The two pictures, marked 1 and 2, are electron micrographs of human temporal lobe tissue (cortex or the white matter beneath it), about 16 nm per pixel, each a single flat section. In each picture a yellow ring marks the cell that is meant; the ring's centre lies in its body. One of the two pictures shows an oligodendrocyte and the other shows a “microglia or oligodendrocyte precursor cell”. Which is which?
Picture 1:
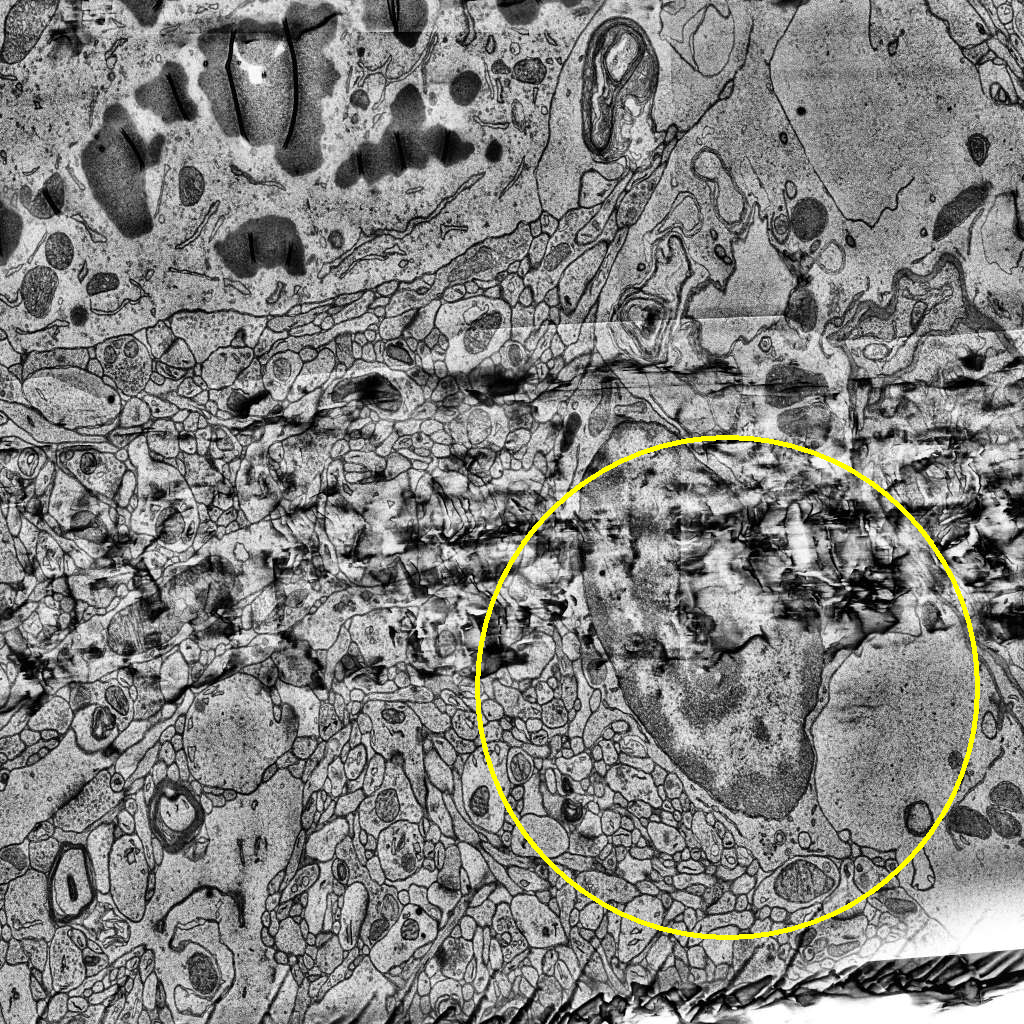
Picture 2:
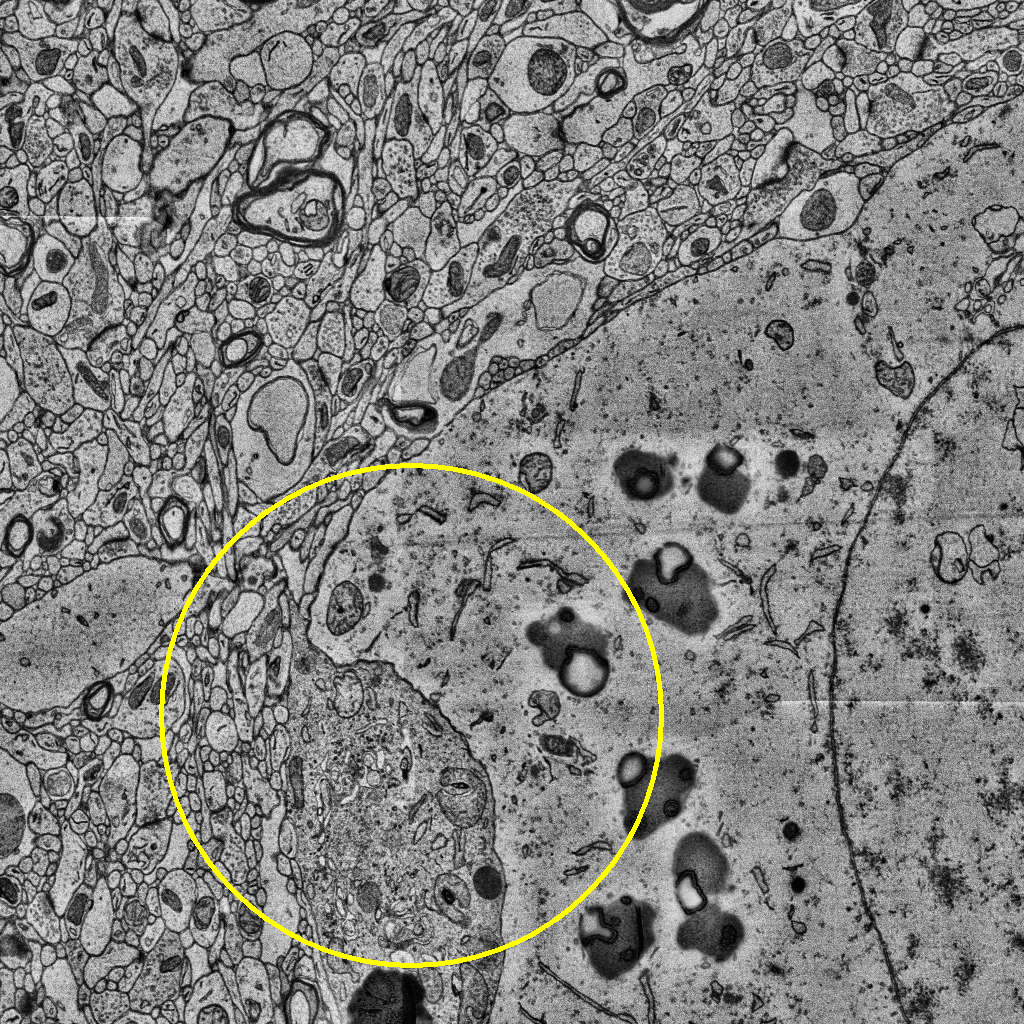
It is picture 1 that shows a “microglia or oligodendrocyte precursor cell”, and picture 2 that shows an oligodendrocyte.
